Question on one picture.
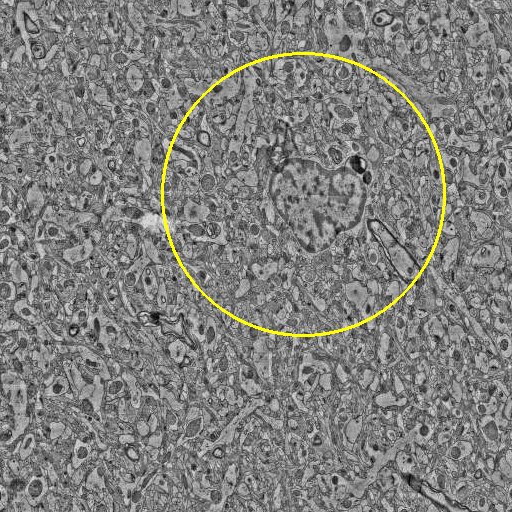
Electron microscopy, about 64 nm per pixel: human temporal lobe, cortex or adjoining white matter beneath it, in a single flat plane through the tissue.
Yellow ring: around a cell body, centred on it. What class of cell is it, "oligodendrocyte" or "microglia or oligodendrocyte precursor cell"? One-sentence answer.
This is a microglial cell or oligodendrocyte precursor cell, the cell the ring is centred on.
